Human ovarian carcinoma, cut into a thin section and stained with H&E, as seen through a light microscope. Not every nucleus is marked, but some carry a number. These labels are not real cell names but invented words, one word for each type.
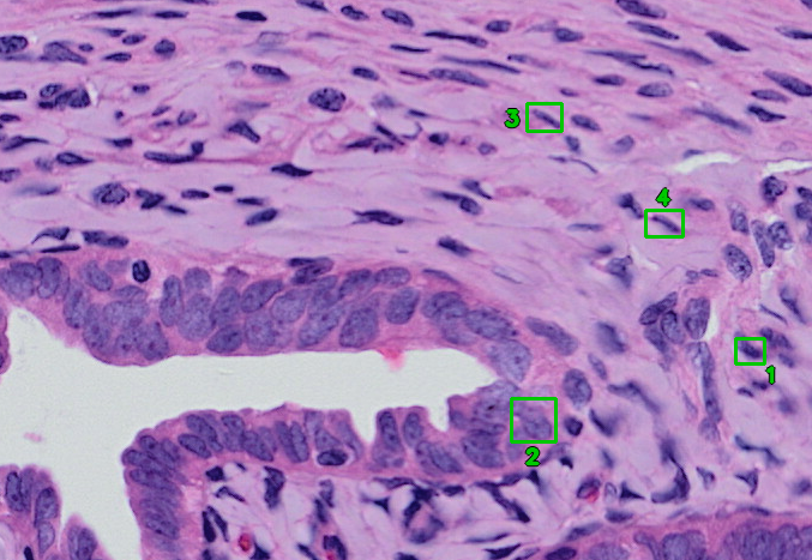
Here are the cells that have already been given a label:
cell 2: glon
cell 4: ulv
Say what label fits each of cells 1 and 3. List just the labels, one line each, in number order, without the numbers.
ulv
ulv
